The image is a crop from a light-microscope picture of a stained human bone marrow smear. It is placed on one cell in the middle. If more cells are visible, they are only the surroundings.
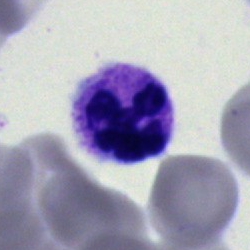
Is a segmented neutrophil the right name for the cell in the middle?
yes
